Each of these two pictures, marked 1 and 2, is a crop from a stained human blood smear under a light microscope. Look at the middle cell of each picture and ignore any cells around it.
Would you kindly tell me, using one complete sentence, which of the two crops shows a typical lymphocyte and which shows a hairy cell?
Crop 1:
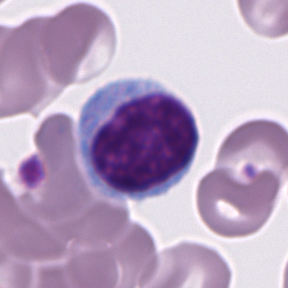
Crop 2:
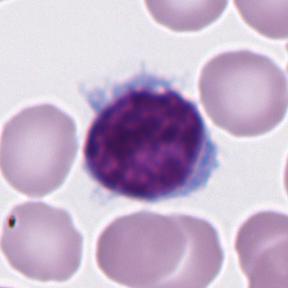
Crop 1 is a typical lymphocyte, whereas a hairy cell is found in crop 2.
